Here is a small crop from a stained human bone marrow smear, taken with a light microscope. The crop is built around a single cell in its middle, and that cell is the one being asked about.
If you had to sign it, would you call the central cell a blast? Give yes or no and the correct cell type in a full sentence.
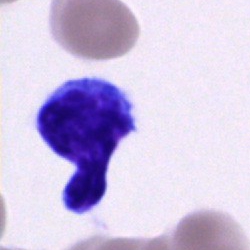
Yes, this is a blast, the cell in the middle of the crop.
